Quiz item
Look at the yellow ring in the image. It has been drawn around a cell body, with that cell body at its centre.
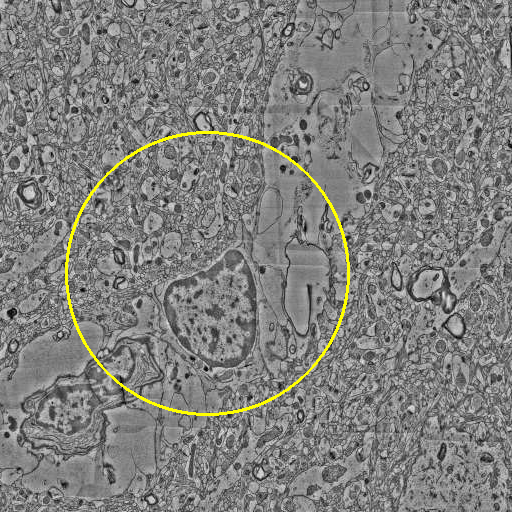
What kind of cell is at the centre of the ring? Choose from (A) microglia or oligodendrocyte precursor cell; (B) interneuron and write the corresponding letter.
A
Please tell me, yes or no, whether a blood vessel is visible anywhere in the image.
Yes, there is one.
